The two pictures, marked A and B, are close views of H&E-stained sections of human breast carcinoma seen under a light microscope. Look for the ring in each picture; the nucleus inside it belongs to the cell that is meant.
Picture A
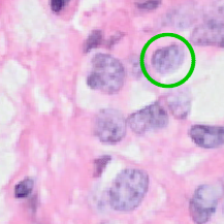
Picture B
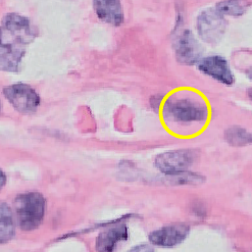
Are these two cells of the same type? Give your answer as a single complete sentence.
No. Picture A shows a carcinoma cell, but picture B shows an endothelial cell.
